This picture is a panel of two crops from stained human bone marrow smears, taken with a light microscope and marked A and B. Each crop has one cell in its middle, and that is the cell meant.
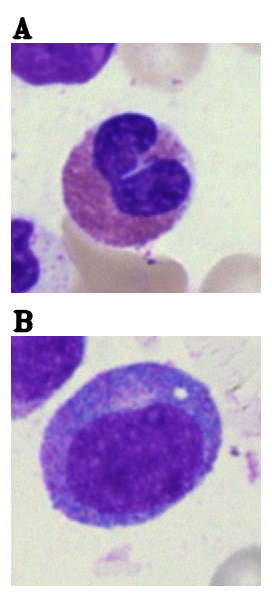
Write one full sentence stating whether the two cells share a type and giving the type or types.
No, the cells are an eosinophil in crop A and a promyelocyte in crop B.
